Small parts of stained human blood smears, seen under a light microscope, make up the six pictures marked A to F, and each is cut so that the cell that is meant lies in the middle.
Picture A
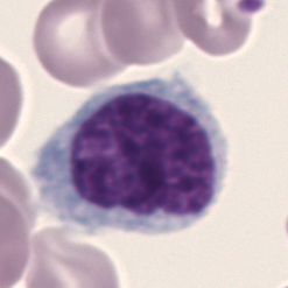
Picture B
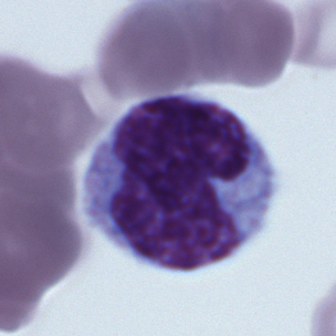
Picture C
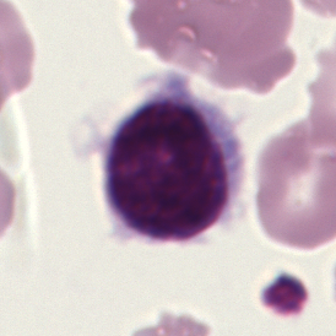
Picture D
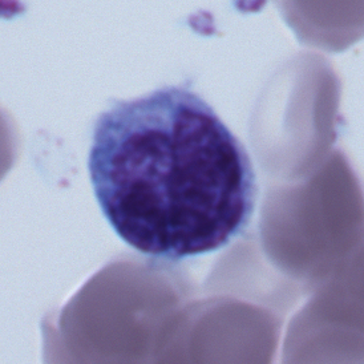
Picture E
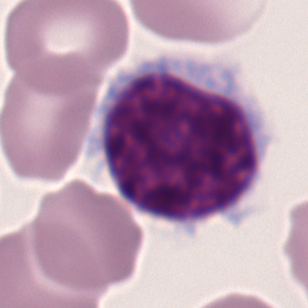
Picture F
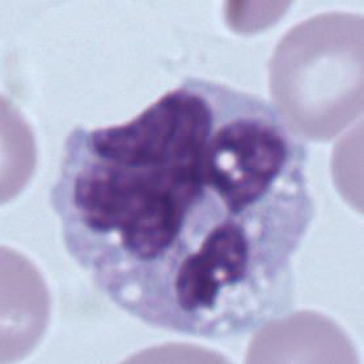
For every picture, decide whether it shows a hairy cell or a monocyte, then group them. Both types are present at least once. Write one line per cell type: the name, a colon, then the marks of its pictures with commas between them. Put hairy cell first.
hairy cell: C, E
monocyte: A, B, D, F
